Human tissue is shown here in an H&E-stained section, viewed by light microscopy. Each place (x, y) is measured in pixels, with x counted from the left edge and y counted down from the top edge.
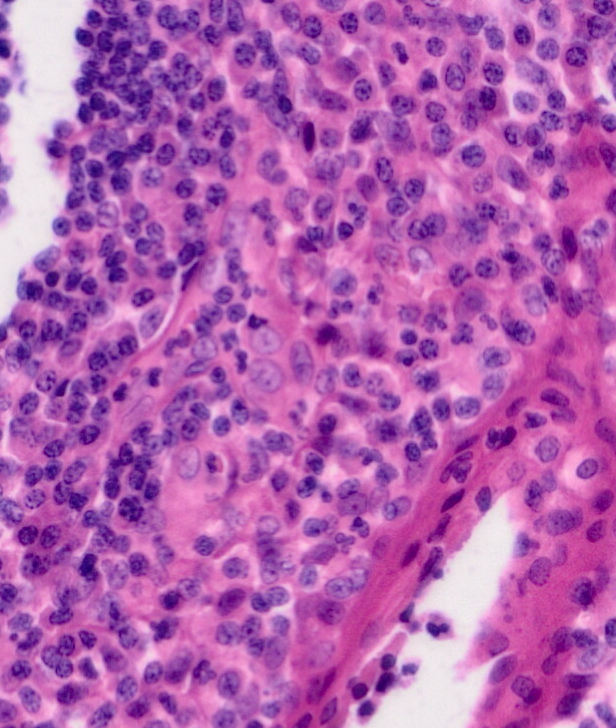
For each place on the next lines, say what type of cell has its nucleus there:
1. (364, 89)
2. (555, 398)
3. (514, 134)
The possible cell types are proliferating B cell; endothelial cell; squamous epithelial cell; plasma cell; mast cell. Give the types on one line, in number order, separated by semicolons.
plasma cell; squamous epithelial cell; plasma cell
